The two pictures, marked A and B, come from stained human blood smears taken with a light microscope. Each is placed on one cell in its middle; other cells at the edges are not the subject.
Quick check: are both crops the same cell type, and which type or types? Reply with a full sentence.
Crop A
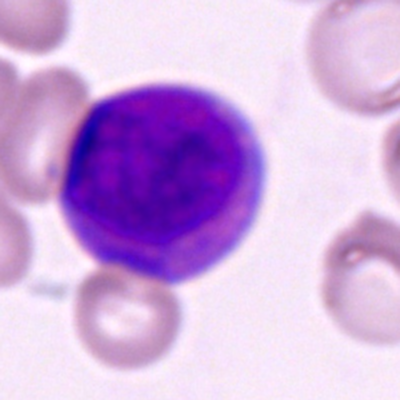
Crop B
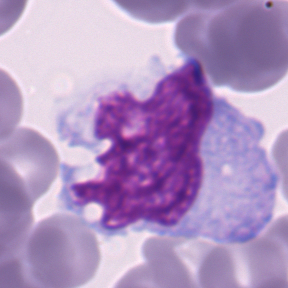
No, crop A contains a blast; a monocyte is what crop B contains.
